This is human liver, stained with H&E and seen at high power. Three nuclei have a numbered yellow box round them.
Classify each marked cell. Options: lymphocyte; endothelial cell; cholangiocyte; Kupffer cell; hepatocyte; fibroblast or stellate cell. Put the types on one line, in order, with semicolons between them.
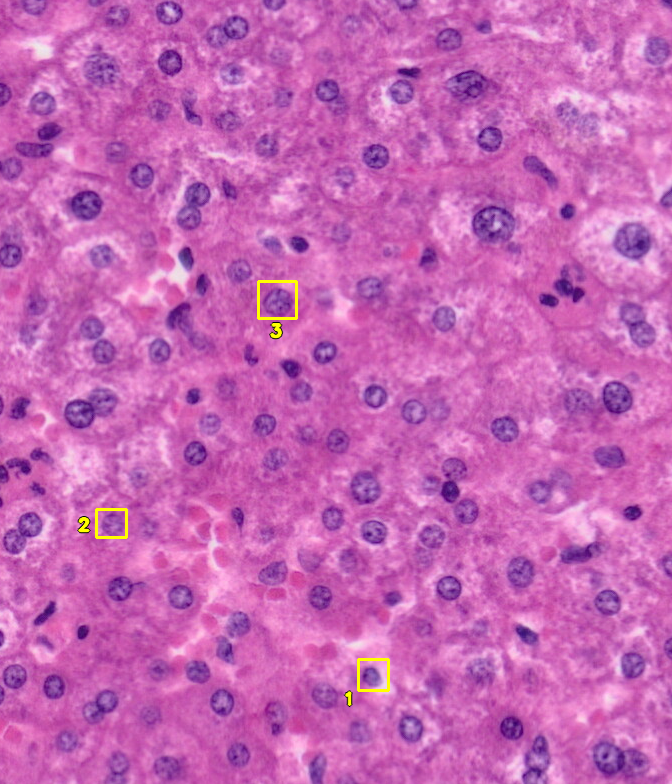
lymphocyte; hepatocyte; hepatocyte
